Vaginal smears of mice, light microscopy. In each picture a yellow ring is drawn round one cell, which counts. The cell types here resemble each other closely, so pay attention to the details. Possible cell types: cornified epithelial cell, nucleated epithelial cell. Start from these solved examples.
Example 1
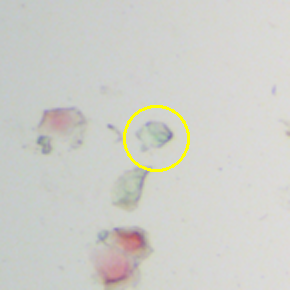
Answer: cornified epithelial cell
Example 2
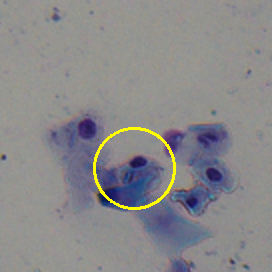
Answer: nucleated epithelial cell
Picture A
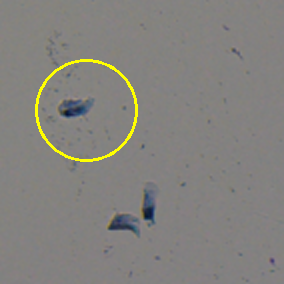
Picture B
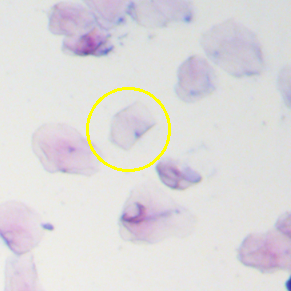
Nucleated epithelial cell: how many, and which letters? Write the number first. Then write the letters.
0, none of them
